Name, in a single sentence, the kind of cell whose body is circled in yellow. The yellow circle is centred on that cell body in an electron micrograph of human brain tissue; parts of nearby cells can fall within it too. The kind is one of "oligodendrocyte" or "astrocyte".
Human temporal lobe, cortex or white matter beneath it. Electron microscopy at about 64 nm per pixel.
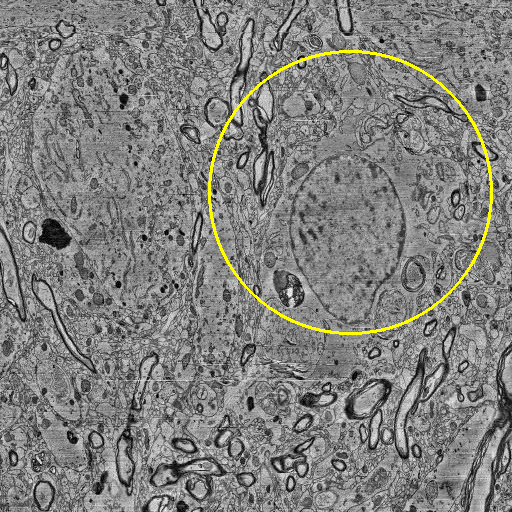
The circled cell body belongs to an astrocyte.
